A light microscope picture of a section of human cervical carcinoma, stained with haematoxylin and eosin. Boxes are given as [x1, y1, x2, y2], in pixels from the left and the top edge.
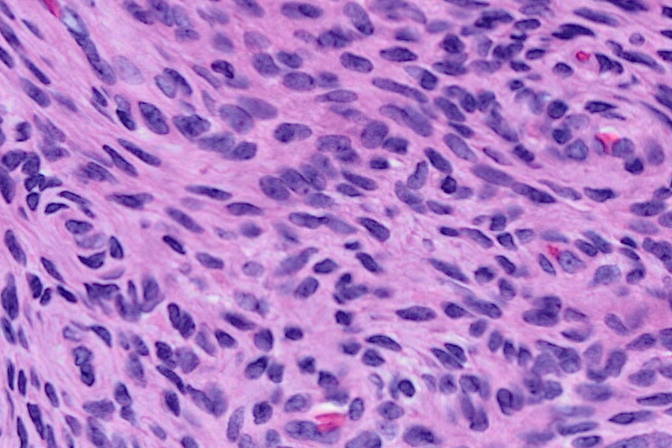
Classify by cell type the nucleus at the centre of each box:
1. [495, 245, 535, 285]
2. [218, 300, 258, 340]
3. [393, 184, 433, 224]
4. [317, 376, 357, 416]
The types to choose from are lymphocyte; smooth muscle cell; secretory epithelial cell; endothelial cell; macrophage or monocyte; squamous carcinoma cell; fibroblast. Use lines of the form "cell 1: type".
cell 1: fibroblast
cell 2: fibroblast
cell 3: fibroblast
cell 4: endothelial cell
